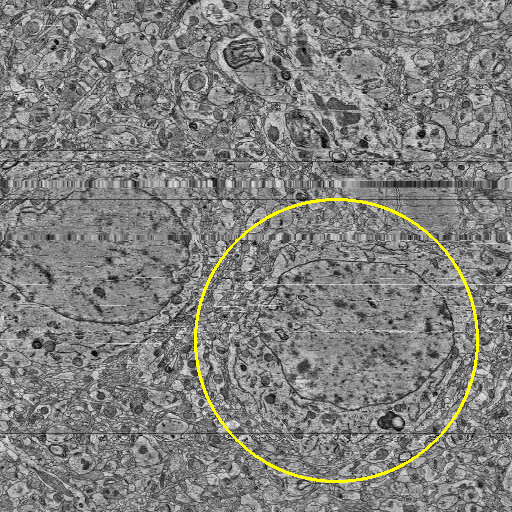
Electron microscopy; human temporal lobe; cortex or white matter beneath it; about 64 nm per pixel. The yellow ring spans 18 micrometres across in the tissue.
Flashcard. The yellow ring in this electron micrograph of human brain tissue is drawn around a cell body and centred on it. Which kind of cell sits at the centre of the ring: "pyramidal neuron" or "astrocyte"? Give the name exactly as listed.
pyramidal neuron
